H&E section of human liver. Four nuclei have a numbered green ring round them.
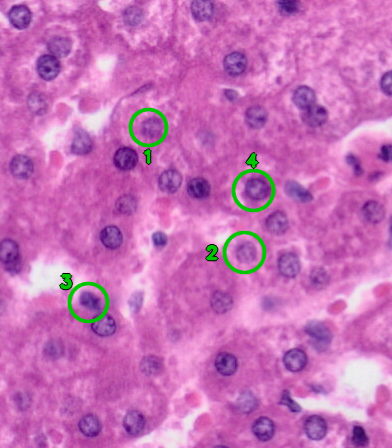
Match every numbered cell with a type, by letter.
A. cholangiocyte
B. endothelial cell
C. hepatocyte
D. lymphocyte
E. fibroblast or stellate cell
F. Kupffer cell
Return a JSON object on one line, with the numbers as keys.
{"1": "C", "2": "C", "3": "E", "4": "C"}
